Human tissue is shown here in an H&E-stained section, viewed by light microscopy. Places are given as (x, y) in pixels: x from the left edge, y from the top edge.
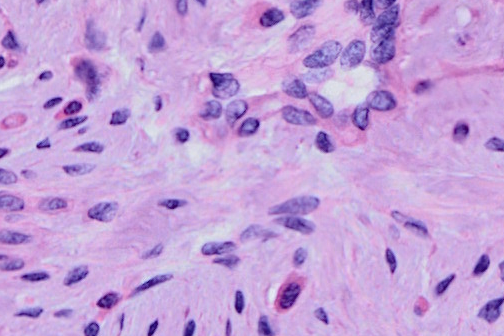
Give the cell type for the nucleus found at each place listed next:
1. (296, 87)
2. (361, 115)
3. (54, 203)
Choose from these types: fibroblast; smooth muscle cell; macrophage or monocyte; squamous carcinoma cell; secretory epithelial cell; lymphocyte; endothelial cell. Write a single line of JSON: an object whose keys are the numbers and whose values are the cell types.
{"1": "endothelial cell", "2": "endothelial cell", "3": "smooth muscle cell"}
